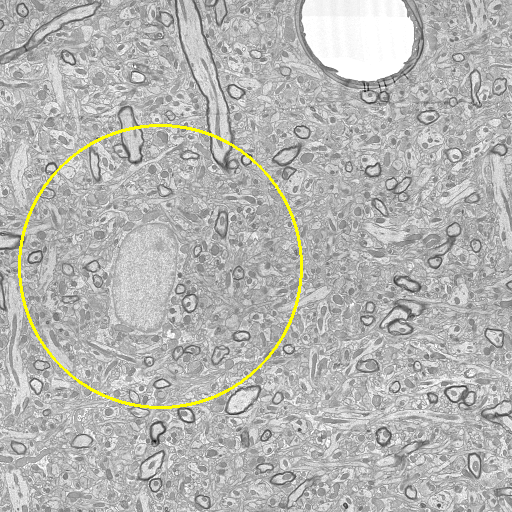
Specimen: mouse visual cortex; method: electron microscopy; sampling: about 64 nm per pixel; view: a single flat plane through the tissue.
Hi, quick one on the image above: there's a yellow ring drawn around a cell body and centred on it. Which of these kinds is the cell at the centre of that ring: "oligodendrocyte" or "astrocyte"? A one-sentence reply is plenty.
The cell at the centre of the ring is an astrocyte.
